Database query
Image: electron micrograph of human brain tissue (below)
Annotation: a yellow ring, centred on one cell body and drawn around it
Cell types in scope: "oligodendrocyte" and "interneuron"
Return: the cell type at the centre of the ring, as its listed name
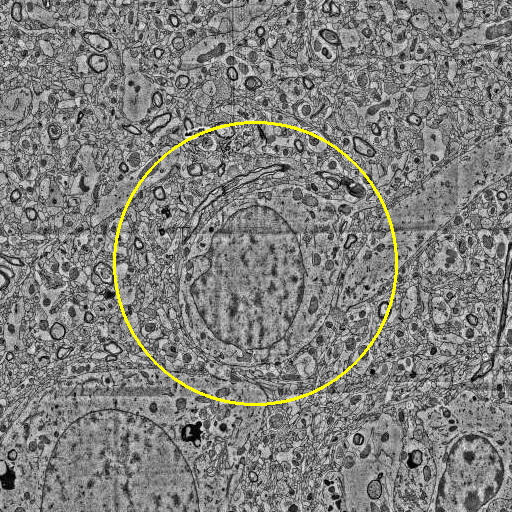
interneuron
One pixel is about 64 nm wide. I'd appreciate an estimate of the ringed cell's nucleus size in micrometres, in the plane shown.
About 9 micrometres by about 7 micrometres in this plane.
